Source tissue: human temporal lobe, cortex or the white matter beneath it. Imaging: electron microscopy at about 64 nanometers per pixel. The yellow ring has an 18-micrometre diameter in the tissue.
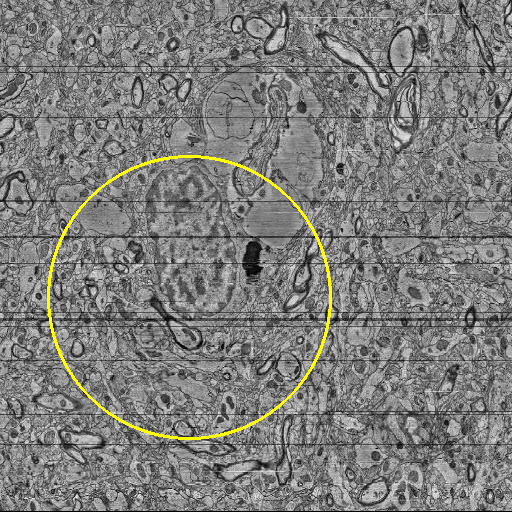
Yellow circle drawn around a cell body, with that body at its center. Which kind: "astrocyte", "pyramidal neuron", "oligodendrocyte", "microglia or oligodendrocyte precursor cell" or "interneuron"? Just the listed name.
oligodendrocyte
